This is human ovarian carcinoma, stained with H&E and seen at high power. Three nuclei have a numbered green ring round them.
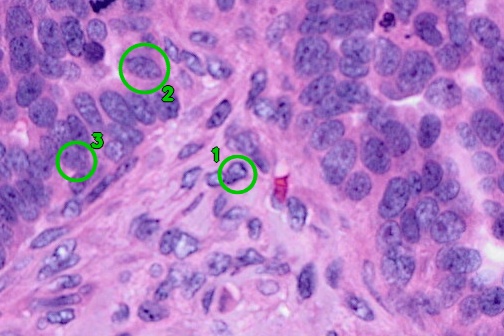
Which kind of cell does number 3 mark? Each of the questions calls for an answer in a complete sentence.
At number 3, the marked cell is a carcinoma cell.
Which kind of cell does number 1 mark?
The cell carrying label 1 is identified as an endothelial cell.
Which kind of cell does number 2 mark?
Looking at the numbered marks, cell 2 is a carcinoma cell.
